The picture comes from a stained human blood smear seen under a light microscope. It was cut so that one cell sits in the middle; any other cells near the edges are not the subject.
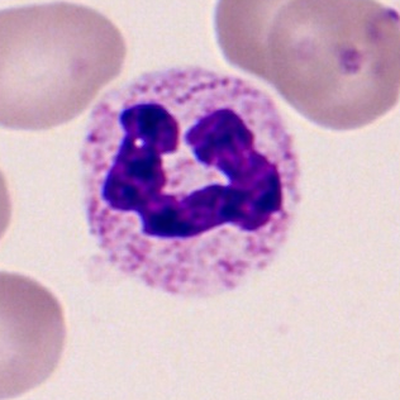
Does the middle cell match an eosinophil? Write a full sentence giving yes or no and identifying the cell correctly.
No, instead of being an eosinophil, the middle cell is a segmented neutrophil.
